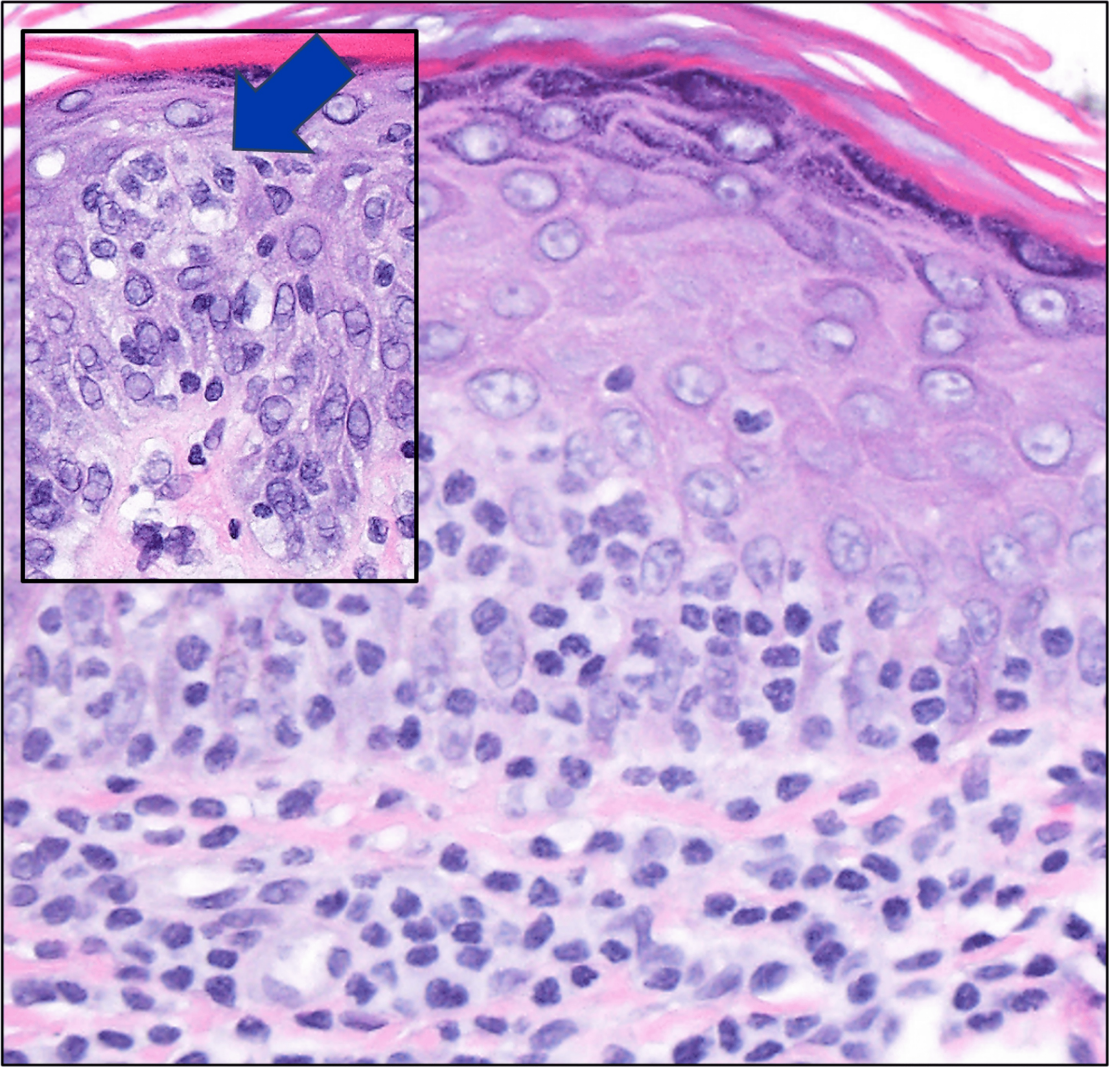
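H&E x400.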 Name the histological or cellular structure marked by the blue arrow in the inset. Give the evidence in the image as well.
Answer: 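In the inset, the arrow points to a small cluster of cells with dark nuclei inside the upper epidermis. The cluster sits among larger epidermal cells with paler, rounder nuclei. So: Pautrier’s microabscess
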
